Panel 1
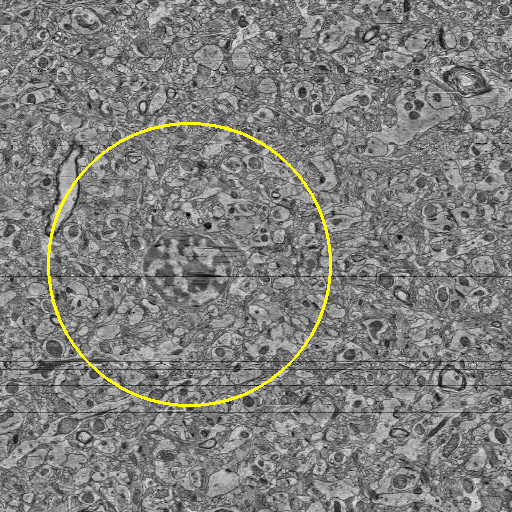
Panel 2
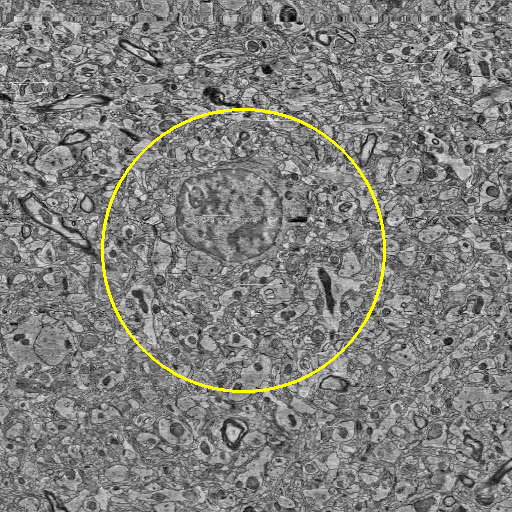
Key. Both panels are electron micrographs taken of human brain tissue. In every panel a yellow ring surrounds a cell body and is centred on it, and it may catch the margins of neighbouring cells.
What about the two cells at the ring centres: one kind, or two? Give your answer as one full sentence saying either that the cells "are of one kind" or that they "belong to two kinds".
Across Panels 1 and 2, the two cells at the ring centres are of one kind.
